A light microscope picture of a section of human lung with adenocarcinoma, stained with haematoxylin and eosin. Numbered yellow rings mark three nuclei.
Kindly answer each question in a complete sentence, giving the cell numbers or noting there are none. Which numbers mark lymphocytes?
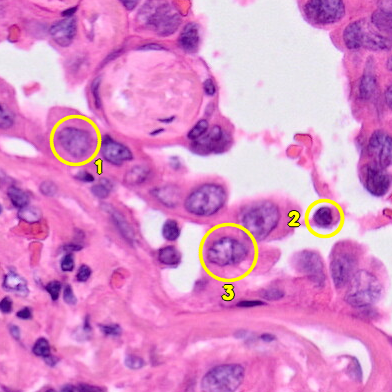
Of the marked cells, the one numbered 2 is a lymphocyte and the rest are not.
